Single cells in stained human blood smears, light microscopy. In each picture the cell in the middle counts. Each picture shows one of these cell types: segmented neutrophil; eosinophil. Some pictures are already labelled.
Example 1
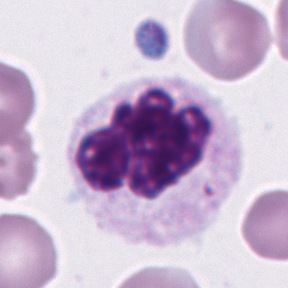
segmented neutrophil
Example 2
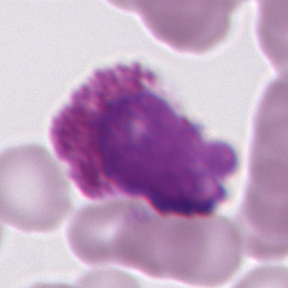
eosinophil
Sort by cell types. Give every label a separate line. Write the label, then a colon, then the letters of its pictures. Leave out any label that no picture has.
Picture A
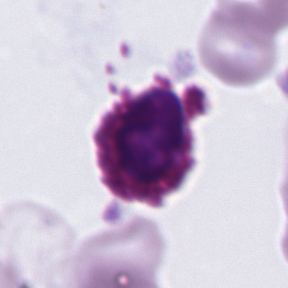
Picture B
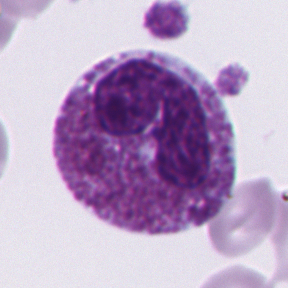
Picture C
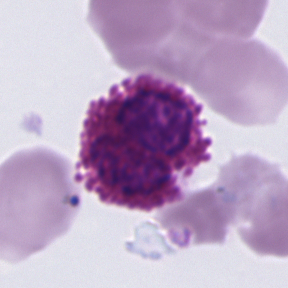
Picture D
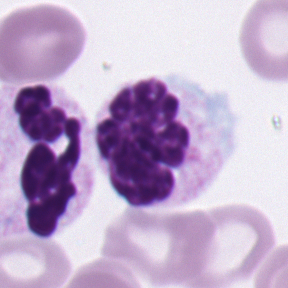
segmented neutrophil: D
eosinophil: A, B, C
